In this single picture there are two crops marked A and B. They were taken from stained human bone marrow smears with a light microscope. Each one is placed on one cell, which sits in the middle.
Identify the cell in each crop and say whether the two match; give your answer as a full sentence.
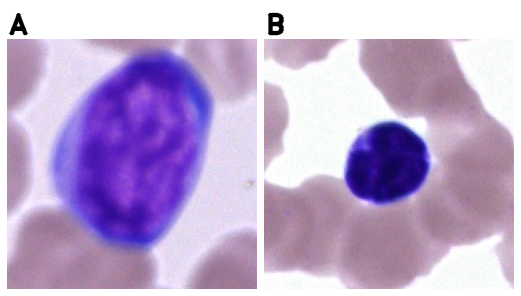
No, crop A features a blast, and crop B features a lymphocyte.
